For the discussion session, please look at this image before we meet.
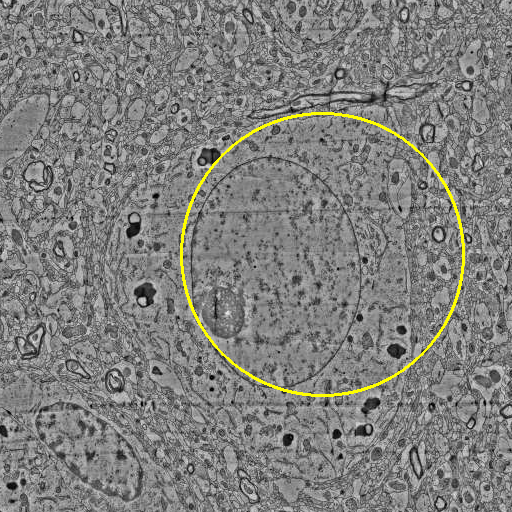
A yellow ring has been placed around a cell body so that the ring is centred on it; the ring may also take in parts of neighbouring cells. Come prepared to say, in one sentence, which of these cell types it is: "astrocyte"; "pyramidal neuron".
The cell centred in the ring is a pyramidal neuron.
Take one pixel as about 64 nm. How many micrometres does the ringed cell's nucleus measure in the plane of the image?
In this plane, about 15 micrometres in length and 11 in width.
